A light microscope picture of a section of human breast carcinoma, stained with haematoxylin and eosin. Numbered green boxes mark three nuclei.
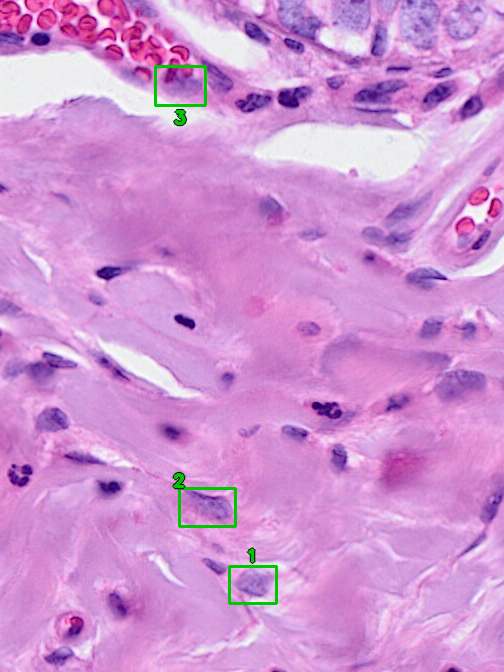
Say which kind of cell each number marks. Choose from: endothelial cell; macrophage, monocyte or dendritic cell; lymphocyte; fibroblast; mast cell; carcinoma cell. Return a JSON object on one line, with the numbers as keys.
{"1": "fibroblast", "2": "fibroblast", "3": "endothelial cell"}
